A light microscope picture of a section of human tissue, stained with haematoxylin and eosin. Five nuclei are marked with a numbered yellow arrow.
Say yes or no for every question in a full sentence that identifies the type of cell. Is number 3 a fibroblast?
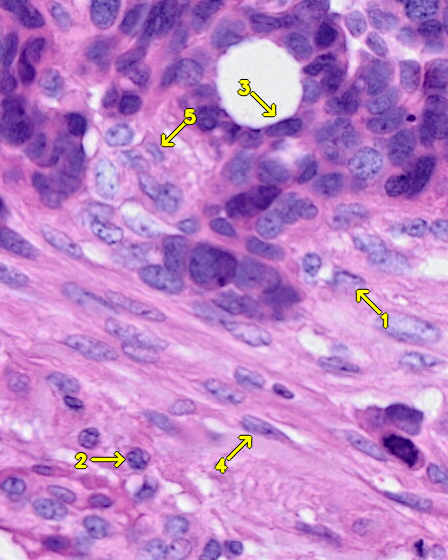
No, cell 3 should be read as a carcinoma cell instead of a fibroblast.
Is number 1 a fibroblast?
Yes, the cell that the number 1 labels is a fibroblast.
